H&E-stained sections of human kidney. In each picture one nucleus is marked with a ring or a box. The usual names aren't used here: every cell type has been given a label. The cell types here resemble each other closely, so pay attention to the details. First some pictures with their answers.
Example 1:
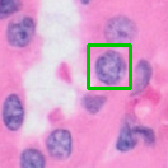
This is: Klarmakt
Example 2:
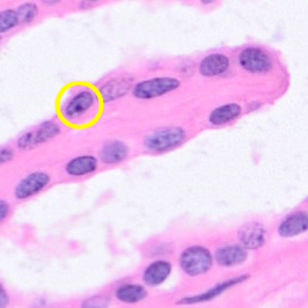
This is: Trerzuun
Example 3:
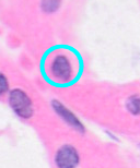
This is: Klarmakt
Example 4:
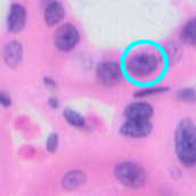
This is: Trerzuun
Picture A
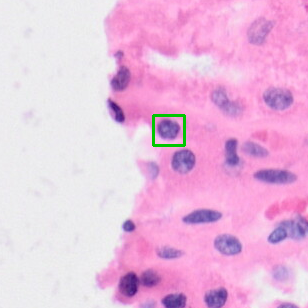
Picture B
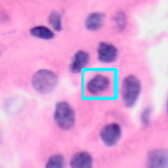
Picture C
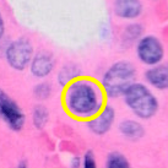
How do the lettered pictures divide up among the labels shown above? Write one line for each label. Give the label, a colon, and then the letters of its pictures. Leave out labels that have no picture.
Klarmakt: A, B
Trerzuun: C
